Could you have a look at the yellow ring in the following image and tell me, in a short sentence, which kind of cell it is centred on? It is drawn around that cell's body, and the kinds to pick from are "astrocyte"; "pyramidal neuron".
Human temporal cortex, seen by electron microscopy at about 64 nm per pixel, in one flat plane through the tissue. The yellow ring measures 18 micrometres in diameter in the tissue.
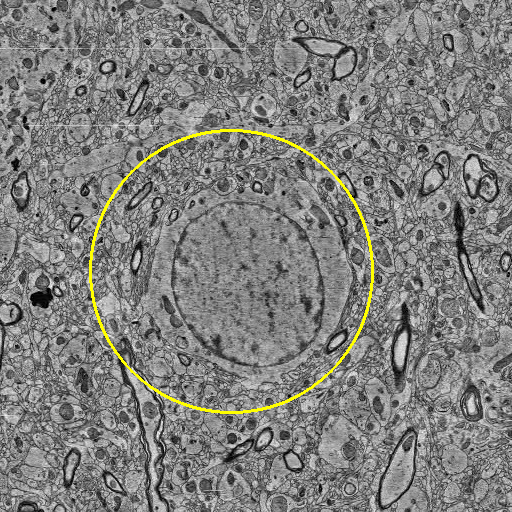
The ring is centred on the body of an astrocyte.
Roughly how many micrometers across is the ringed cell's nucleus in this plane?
In this plane, approximately 11 by 9 micrometers.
